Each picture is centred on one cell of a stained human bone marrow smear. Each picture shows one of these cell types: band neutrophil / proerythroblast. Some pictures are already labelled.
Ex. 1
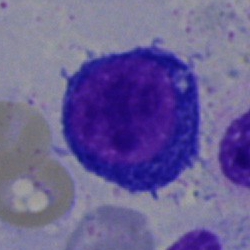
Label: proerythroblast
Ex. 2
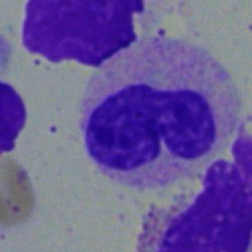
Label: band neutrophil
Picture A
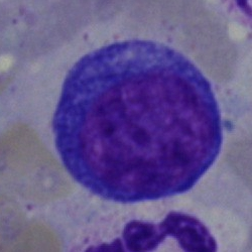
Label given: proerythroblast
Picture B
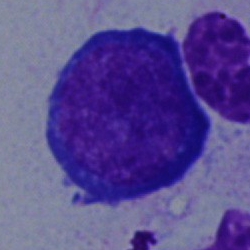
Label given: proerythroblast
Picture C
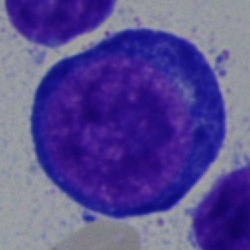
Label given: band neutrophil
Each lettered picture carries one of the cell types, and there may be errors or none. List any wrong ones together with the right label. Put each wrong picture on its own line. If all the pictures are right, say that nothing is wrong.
C should be proerythroblast, not band neutrophil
